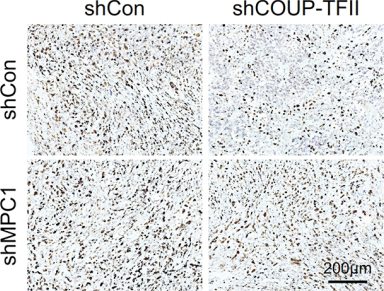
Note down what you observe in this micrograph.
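These are sections of tumor tissue made of densely packed cells arranged in disorganised sheets and streams. Many of the cells are spindle-shaped, with elongated, oval nuclei lying in parallel bundles, and there is no glandular or layered architecture. A proportion of the nuclei are stained dark brown, while the remaining nuclei are pale blue from the counterstain. The brown nuclei are scattered evenly through the sheets rather than clustered in one region. In one of the four fields brown nuclei are clearly sparser than in the others.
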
